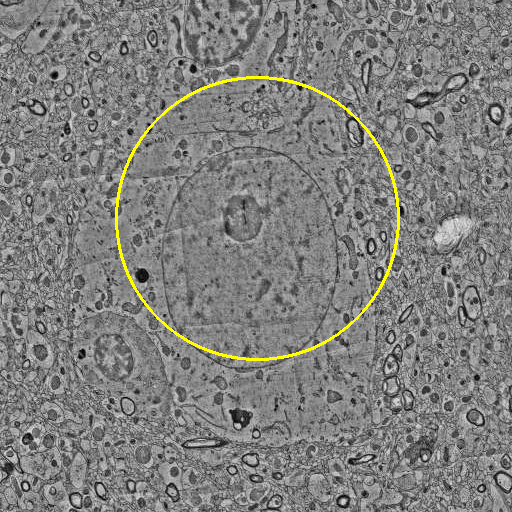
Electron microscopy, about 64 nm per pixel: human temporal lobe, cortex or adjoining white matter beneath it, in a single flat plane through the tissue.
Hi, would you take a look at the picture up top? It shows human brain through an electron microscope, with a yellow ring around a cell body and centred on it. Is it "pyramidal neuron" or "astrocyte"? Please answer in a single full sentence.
The best fit for the cell in the middle of the ring is a pyramidal neuron, I reckon.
